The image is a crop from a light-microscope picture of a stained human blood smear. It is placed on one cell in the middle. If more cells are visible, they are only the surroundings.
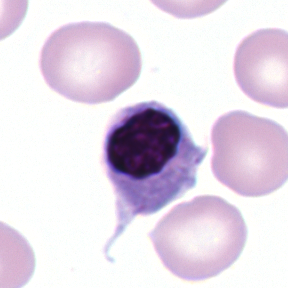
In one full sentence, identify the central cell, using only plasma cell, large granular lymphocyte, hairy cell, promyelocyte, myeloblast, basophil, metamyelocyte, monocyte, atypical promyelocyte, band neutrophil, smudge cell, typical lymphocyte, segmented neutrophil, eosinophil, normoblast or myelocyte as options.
Among the cells in view, the one in the middle is a normoblast.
